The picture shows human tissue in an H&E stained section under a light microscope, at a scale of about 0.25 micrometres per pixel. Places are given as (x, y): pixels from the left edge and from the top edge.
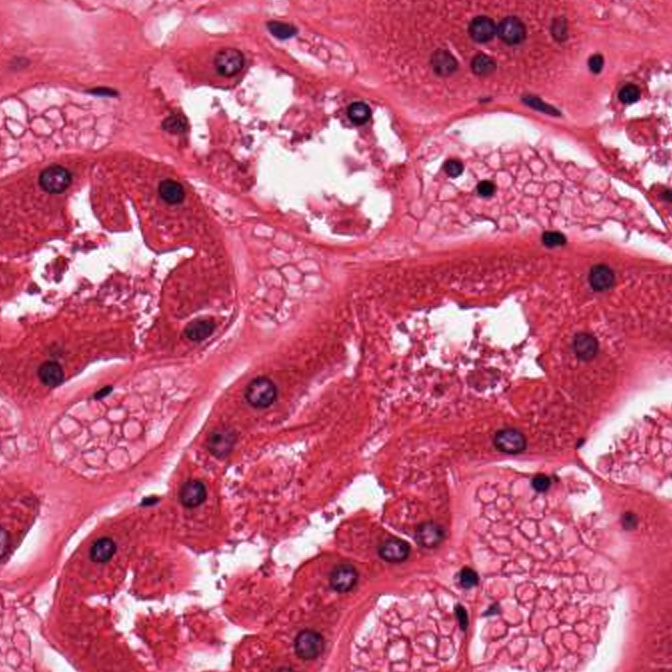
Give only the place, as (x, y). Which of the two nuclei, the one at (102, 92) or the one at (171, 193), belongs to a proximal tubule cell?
(171, 193)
